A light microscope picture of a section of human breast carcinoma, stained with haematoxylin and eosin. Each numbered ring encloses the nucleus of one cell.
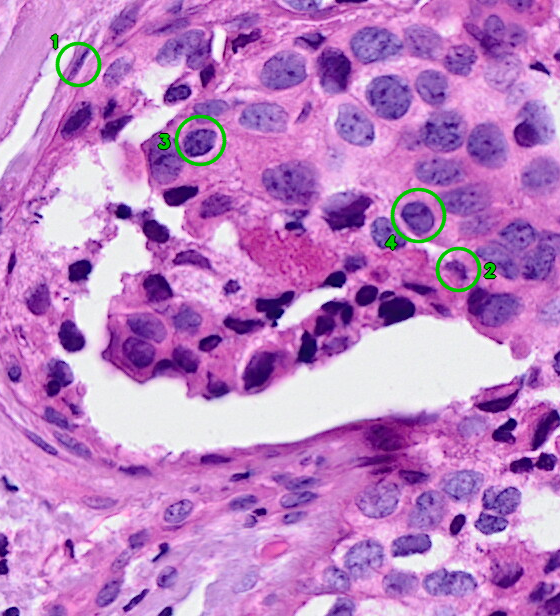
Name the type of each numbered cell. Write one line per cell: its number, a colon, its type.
1: fibroblast
2: carcinoma cell
3: carcinoma cell
4: carcinoma cell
